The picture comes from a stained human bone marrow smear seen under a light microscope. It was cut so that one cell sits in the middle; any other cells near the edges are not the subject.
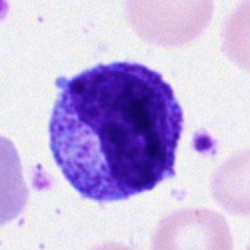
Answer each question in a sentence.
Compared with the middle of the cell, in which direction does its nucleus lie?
The nucleus is pushed toward the upper right of the cell.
